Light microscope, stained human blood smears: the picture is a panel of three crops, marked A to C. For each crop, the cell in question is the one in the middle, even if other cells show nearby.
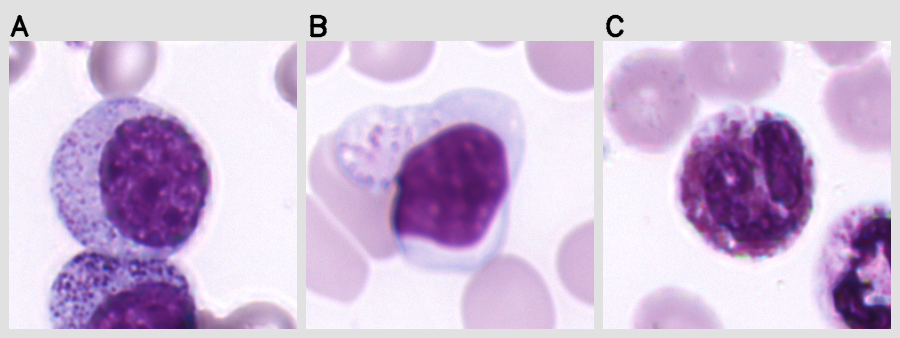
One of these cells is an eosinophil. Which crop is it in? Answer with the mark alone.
C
